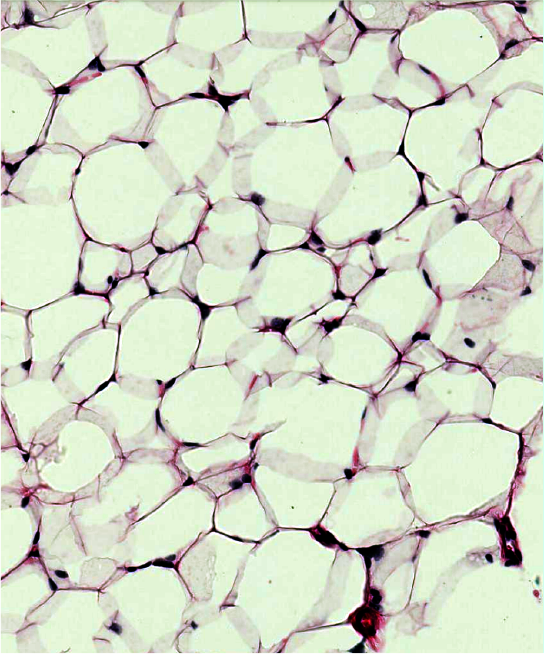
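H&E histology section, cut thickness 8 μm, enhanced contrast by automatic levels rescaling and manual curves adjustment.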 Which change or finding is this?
cytoplasm overlap between adipocytes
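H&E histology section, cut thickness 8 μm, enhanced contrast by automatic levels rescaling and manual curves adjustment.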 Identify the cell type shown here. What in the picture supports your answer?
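Large cells with a single clear central space. Cytoplasm reduced to a thin rim around each cell. Dark, flattened nuclei pushed to the cell edge. So: adipocytes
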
